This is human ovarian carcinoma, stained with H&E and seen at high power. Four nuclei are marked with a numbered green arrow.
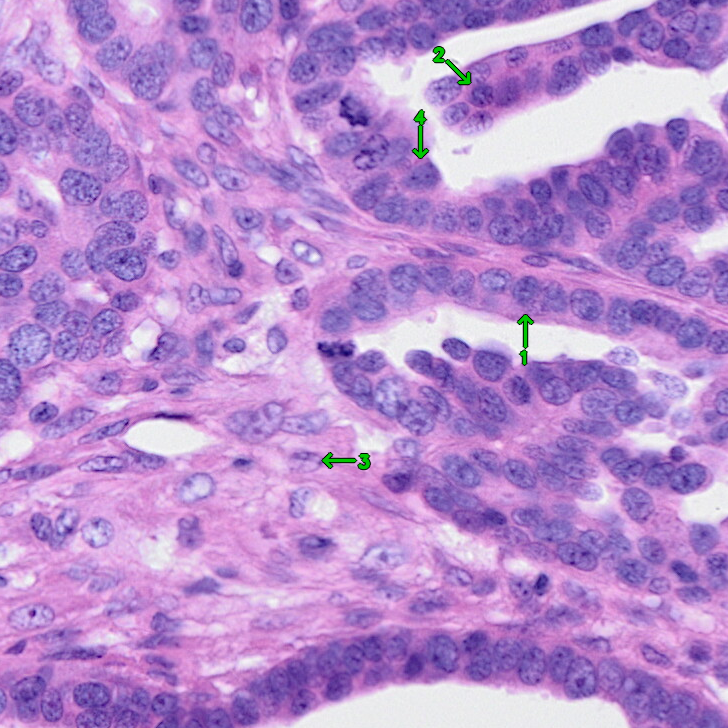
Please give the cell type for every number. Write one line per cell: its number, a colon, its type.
1: carcinoma cell
2: carcinoma cell
3: fibroblast
4: carcinoma cell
